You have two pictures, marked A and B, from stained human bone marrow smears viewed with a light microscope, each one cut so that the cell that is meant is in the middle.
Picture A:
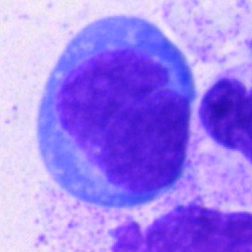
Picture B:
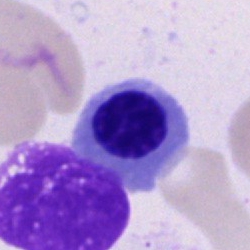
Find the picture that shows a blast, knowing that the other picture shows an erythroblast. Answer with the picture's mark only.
A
